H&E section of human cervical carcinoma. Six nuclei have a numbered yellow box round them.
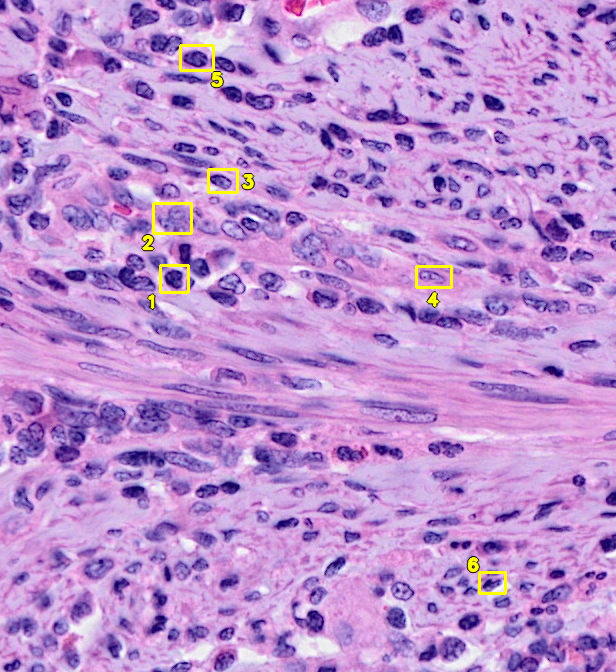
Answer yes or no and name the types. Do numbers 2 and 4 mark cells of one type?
Yes, the two cells, 2 and 4, are both endothelial cells.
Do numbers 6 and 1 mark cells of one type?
Yes, cells 6 and 1 are both lymphocytes in this section.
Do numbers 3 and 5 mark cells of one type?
Yes, with respect to identity, cells 3 and 5 are both lymphocytes.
